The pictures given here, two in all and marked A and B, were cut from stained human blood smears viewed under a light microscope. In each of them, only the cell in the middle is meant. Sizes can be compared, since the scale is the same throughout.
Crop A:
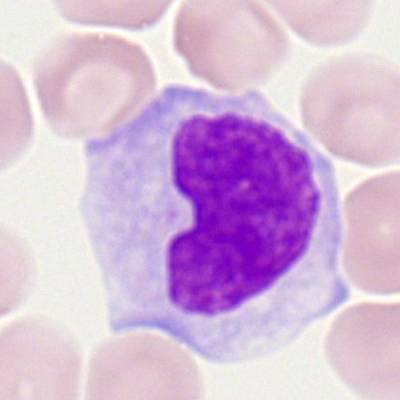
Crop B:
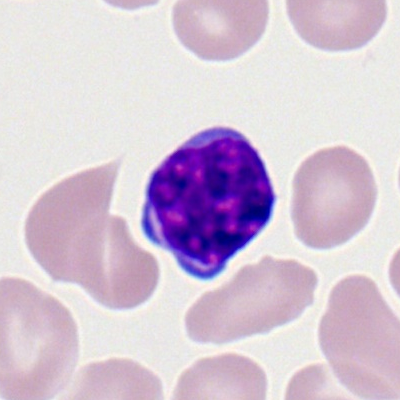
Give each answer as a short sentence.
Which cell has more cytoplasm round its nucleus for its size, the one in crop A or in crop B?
Of the two, the nucleus in crop A leaves more room for cytoplasm.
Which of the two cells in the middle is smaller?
It is the cell in crop B; the cell in crop A has about 3 times its area.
